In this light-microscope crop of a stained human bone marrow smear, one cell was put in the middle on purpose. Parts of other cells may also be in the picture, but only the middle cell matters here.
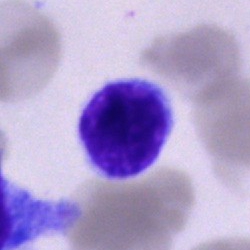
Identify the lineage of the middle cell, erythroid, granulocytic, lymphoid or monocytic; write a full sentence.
The cell at the center of the crop has lymphoid lineage.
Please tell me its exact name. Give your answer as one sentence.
Located at the centre of the crop is a lymphocyte.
